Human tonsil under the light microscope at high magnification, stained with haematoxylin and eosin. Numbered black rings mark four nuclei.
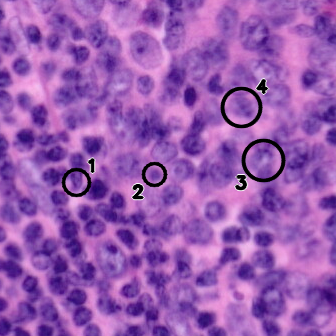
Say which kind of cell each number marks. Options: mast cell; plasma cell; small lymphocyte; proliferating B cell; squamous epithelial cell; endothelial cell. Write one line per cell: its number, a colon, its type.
1: small lymphocyte
2: proliferating B cell
3: proliferating B cell
4: proliferating B cell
